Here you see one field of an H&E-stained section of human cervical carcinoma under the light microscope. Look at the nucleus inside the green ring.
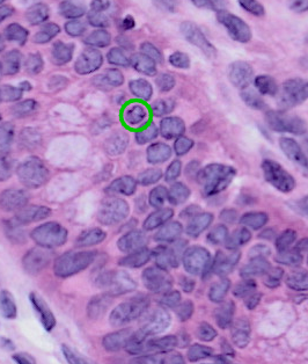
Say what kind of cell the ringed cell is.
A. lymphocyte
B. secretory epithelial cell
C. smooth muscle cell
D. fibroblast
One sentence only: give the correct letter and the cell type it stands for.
Option B is correct in that the ringed cell is a secretory epithelial cell.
